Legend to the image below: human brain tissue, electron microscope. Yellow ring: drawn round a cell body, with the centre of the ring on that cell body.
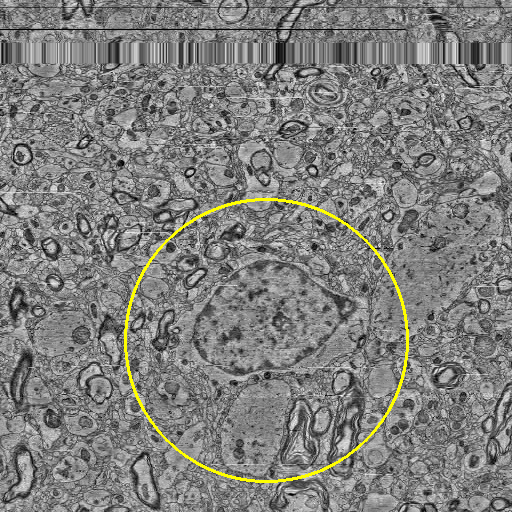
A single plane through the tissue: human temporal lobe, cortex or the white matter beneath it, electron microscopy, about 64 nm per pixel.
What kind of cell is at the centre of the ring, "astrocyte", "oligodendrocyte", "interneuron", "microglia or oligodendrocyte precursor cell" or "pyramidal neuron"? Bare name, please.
microglia or oligodendrocyte precursor cell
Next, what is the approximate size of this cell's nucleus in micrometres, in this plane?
Approximately 10 x 7 micrometres in this plane.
